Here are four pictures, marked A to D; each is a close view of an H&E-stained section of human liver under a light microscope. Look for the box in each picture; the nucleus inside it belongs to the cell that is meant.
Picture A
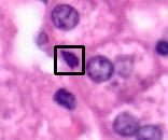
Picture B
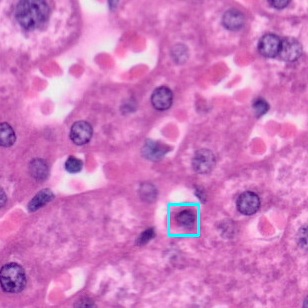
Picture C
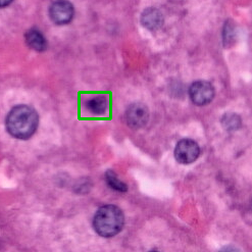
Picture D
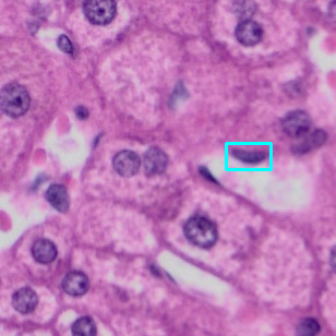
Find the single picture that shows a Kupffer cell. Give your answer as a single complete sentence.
It is picture B that shows the Kupffer cell.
